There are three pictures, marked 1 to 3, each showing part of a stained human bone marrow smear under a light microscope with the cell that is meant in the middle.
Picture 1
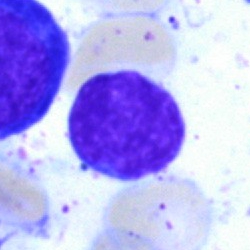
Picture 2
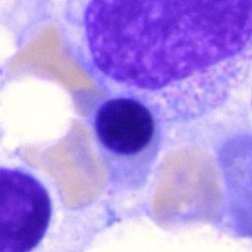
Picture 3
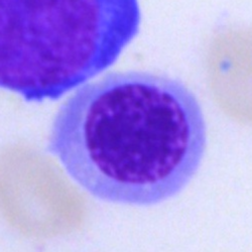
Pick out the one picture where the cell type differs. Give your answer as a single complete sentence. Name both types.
All pictures except 1 show erythroblasts; picture 1 shows a lymphocyte.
